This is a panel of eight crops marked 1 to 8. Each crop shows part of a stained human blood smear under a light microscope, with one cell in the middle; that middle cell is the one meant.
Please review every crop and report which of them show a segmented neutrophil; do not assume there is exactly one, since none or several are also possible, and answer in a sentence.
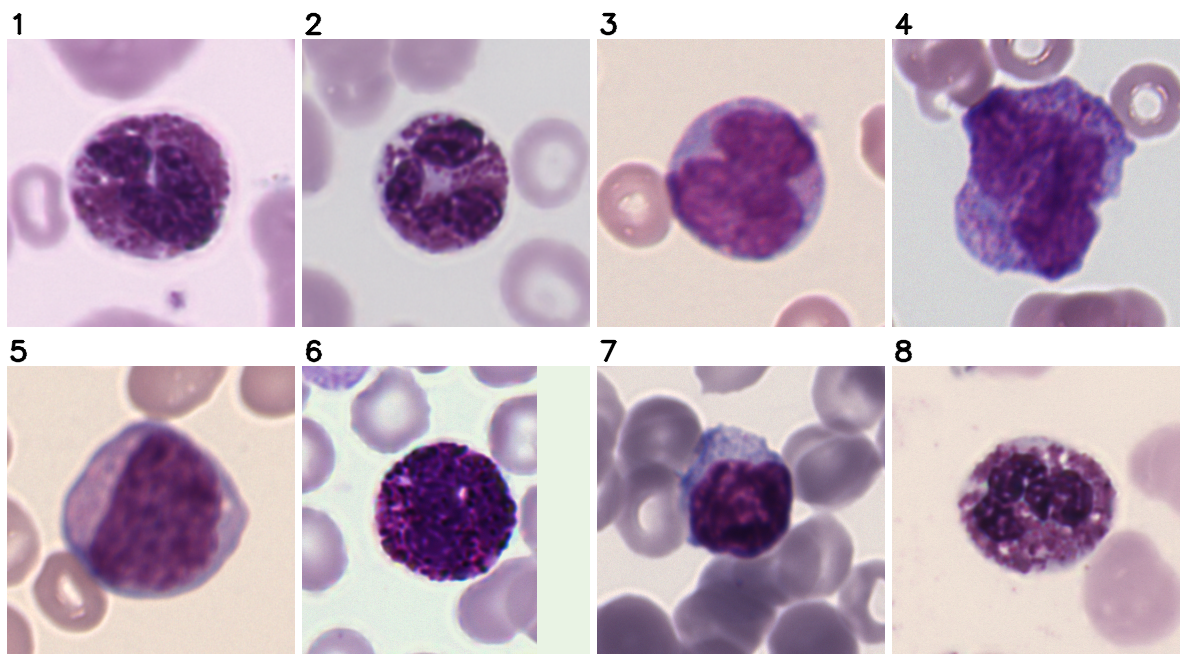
None of the crops displays a segmented neutrophil in its middle.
